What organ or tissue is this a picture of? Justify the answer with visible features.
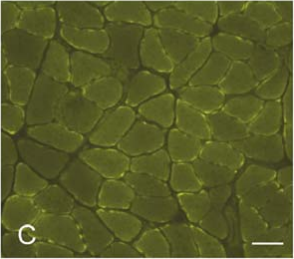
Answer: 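Thin spaces separate the profiles. The answer: muscle.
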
